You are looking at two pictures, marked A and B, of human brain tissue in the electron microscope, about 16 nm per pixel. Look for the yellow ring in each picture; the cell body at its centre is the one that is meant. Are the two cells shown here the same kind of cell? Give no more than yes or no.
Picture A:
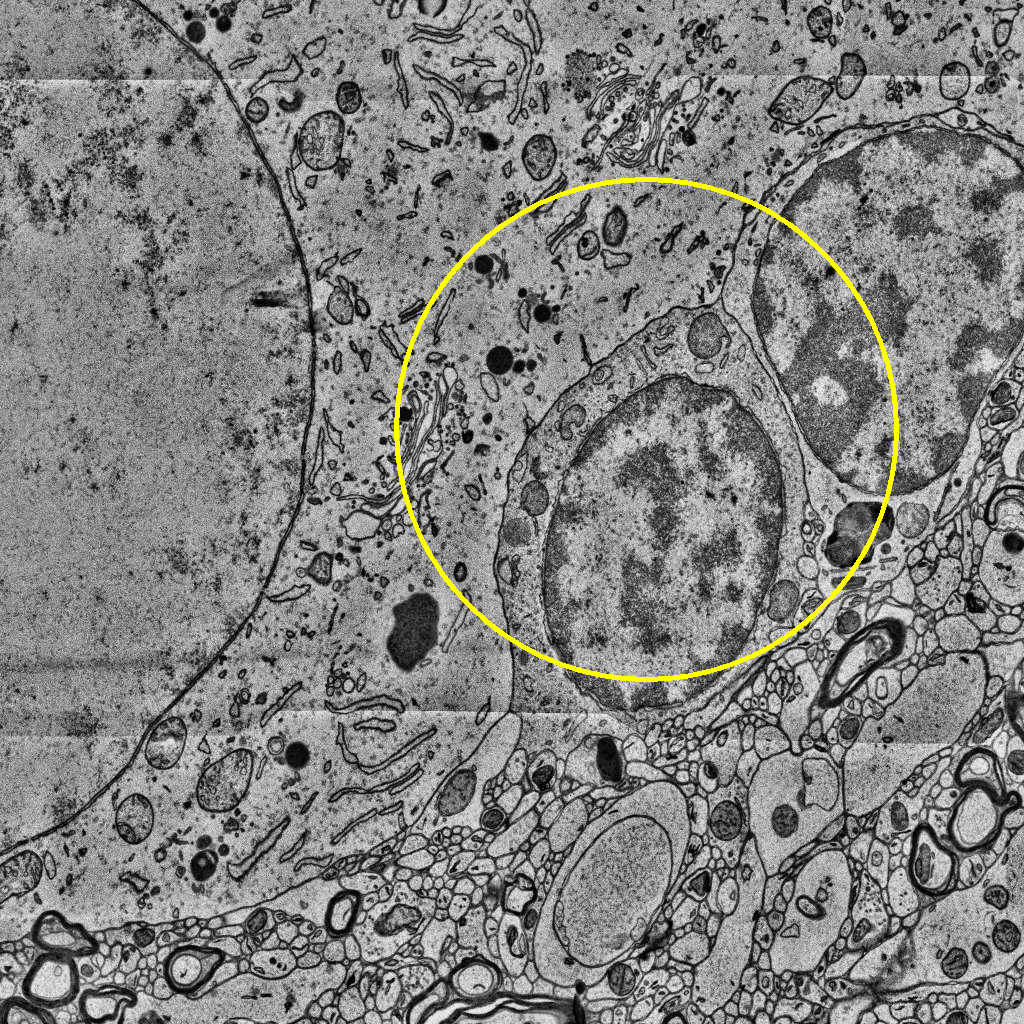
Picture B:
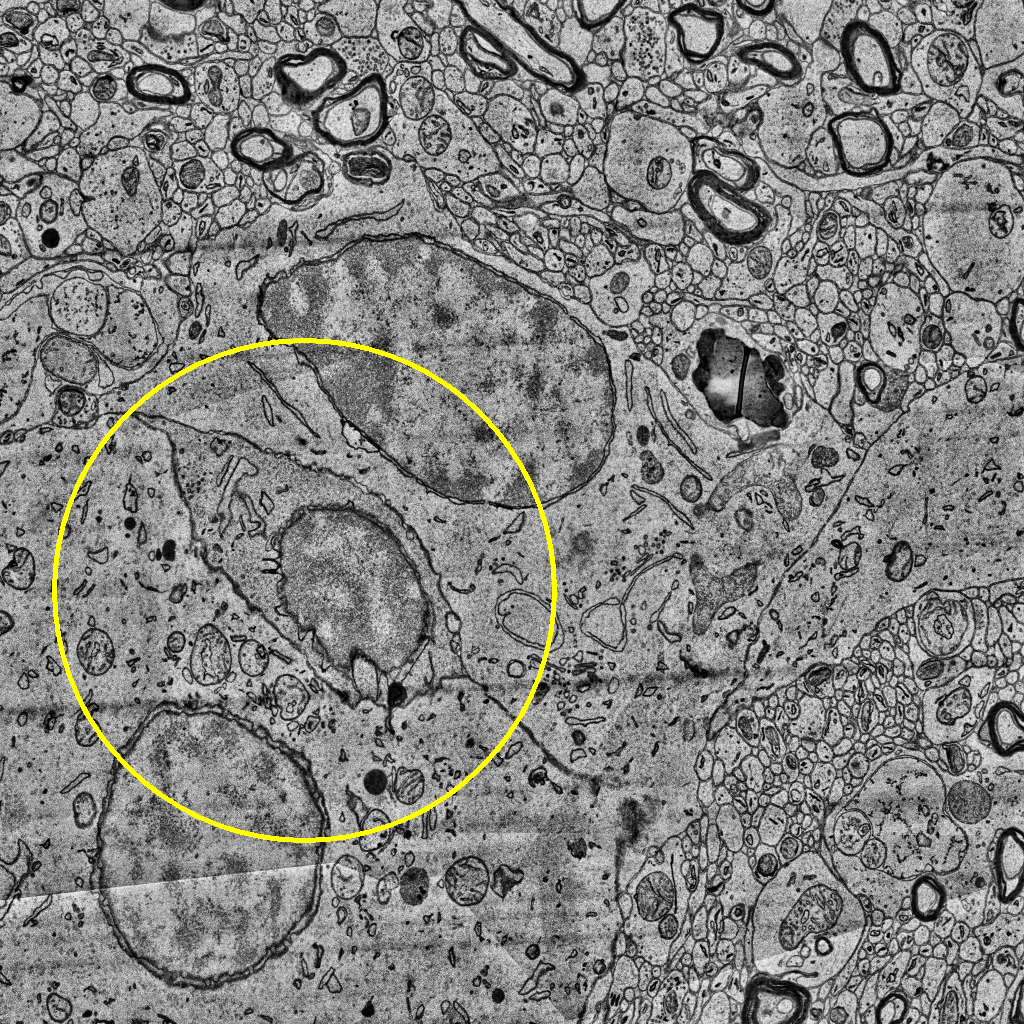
yes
